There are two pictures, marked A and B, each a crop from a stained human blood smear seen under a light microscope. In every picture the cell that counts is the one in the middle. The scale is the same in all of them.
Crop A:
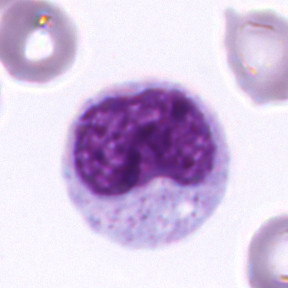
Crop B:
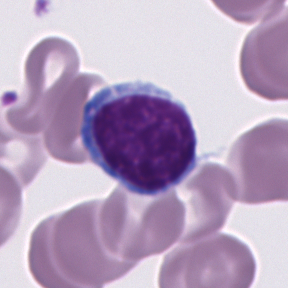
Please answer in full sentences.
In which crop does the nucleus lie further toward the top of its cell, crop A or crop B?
Seen within its cell, the nucleus in crop A lies further toward the top.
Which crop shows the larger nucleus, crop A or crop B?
The nucleus in crop A is larger, with about 1.5 times the area of the one in crop B.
